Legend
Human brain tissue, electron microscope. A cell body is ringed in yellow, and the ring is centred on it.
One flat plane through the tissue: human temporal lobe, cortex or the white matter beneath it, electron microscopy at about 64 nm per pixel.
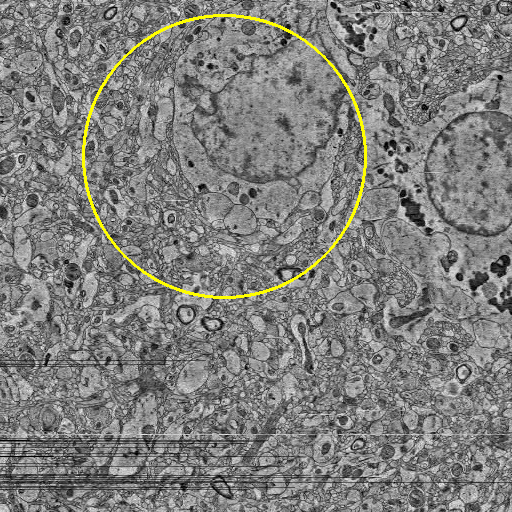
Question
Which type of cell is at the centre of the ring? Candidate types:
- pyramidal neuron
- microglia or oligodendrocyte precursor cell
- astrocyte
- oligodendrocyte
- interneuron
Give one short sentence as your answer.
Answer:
The yellow ring is centred here on an interneuron.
